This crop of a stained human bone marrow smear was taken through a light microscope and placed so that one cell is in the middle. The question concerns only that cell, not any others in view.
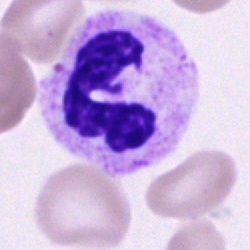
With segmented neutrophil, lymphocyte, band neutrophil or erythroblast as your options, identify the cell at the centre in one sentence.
Looking at the middle of the crop, the cell there is a segmented neutrophil.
